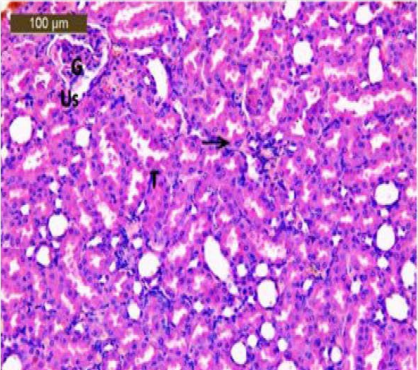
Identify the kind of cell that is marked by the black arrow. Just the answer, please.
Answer: Inflammatory cells.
